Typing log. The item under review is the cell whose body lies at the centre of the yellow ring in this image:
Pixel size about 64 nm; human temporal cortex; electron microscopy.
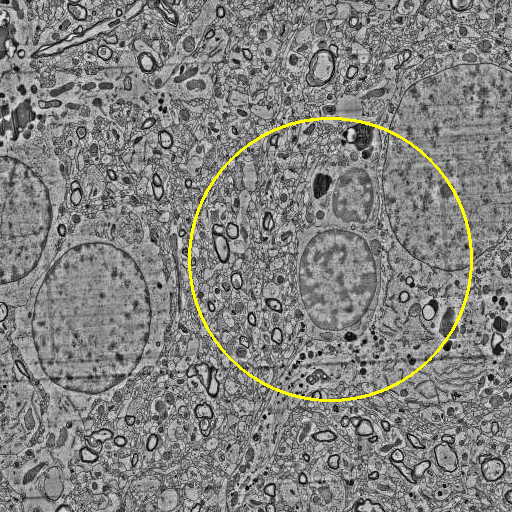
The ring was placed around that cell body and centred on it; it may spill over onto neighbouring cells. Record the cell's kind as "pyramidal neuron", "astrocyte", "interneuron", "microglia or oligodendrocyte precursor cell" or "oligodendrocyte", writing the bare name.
oligodendrocyte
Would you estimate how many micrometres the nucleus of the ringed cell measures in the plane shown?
About 6 by 5 micrometers, in this plane.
